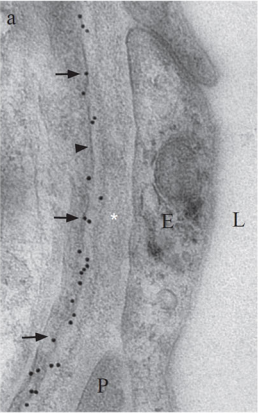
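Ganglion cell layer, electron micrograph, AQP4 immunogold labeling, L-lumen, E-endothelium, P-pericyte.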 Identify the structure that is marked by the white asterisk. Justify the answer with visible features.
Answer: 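The asterisk sits on a thin, homogeneous, moderately dense band running lengthwise between two cellular layers. The band lies outside the endothelial cell that lines the lumen.
Basement membrane.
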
